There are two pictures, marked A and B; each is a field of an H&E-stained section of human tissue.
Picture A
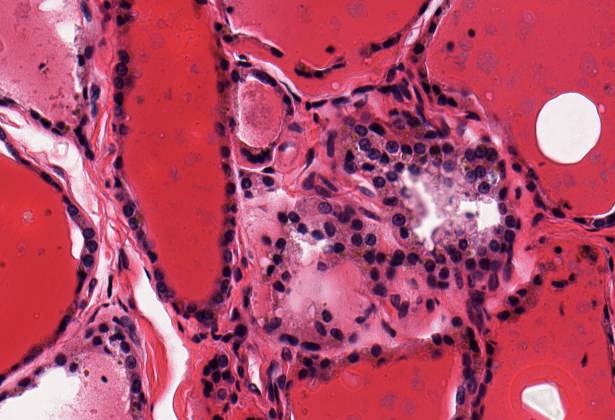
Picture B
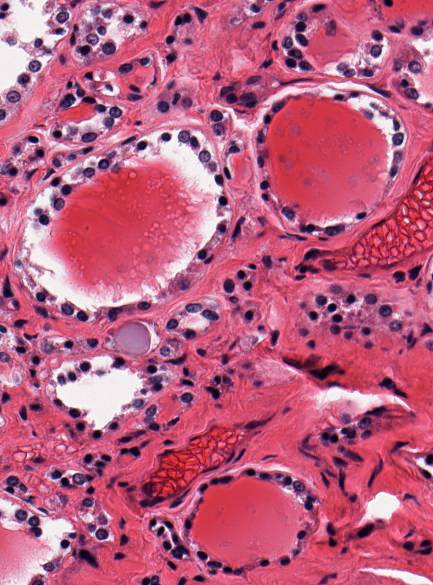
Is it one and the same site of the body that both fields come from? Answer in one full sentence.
Yes, they come from the same site of the body: both come from the thyroid.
